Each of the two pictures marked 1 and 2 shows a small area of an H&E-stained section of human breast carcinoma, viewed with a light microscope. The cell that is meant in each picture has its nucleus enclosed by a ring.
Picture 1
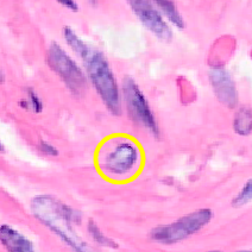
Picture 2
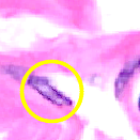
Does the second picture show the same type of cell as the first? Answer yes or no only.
yes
